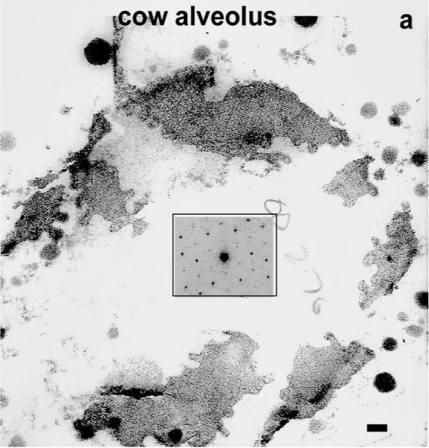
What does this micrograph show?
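This electron micrograph shows flat sheets of membrane-associated material seen face on, each carrying a paracrystalline array. The sheets are irregular in outline, with ragged edges, and lie scattered across a pale background. Within them a very fine, regular lattice texture can be made out. Small round dense bodies of various sizes lie between and over the sheets.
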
